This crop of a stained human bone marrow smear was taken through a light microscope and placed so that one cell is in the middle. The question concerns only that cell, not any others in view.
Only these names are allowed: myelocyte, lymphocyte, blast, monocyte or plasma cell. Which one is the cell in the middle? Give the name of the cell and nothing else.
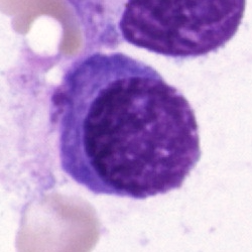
plasma cell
